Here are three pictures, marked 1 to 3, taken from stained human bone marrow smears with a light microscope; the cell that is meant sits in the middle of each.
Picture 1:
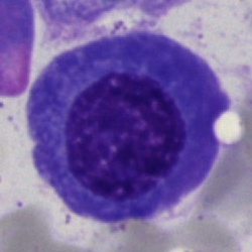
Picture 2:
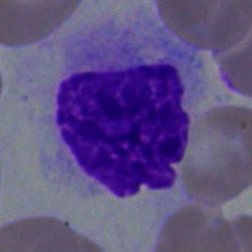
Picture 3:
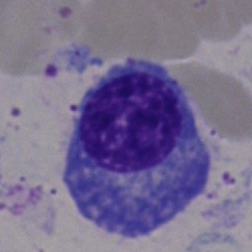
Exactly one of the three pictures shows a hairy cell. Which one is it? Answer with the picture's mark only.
2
